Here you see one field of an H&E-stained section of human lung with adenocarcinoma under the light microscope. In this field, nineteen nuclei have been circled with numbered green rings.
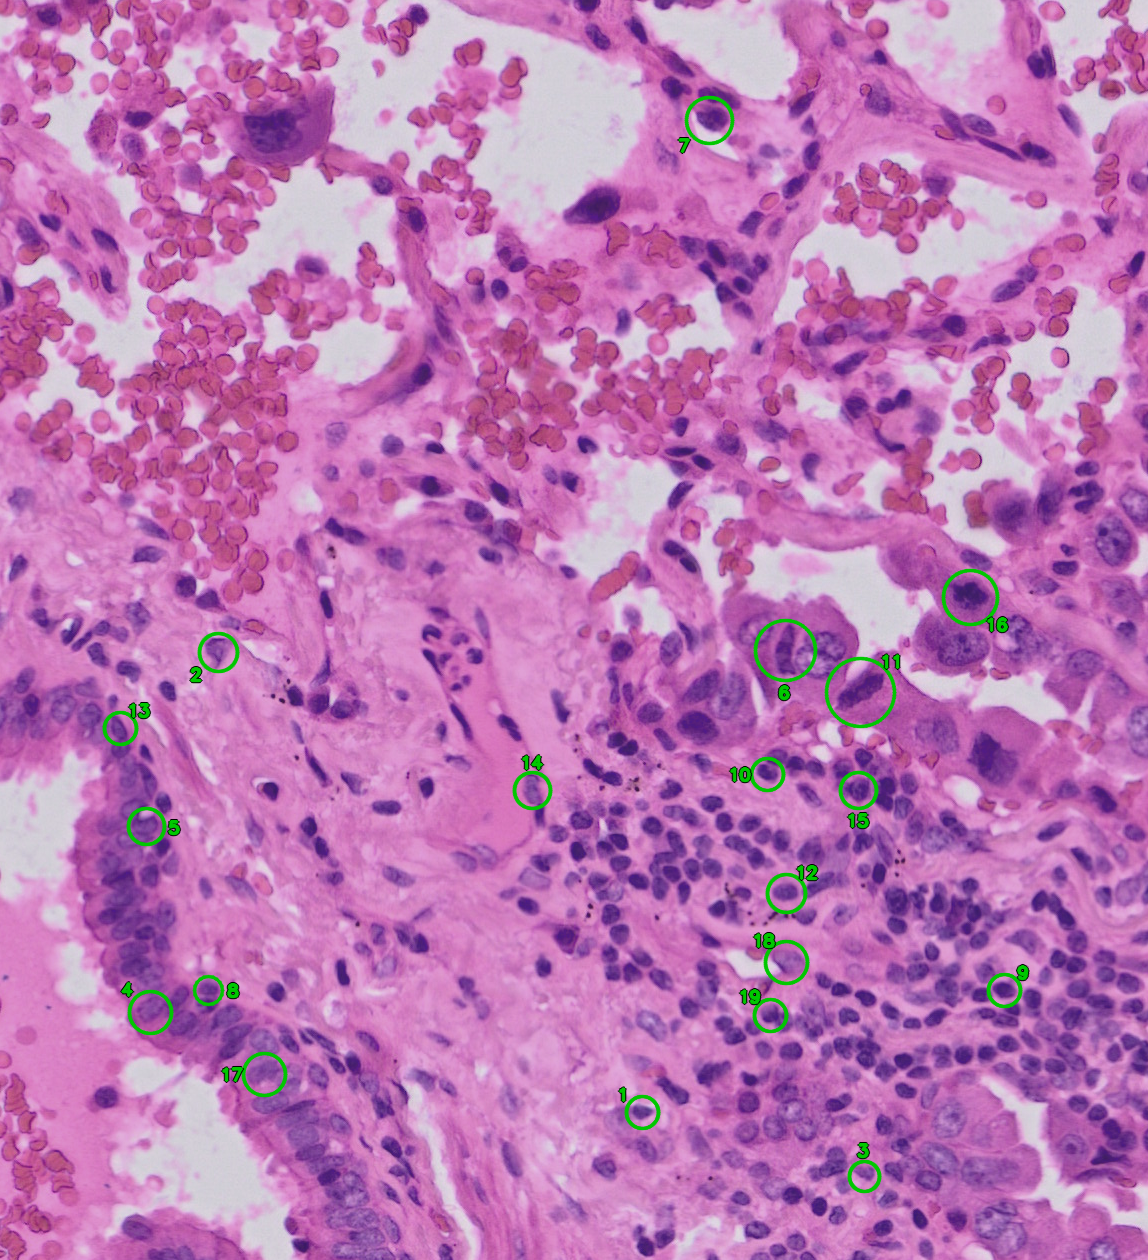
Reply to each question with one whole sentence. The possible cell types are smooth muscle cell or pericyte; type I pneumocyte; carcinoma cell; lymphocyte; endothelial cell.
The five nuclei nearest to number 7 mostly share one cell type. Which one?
Of the five nuclei nearest to number 7, most belong to endothelial cells.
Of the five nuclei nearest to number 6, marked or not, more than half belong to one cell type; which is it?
Most of the five nuclei nearest to number 6 are those of carcinoma cells.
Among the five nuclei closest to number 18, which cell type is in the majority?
Lymphocytes account for more than half of the five nuclei nearest to number 18.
